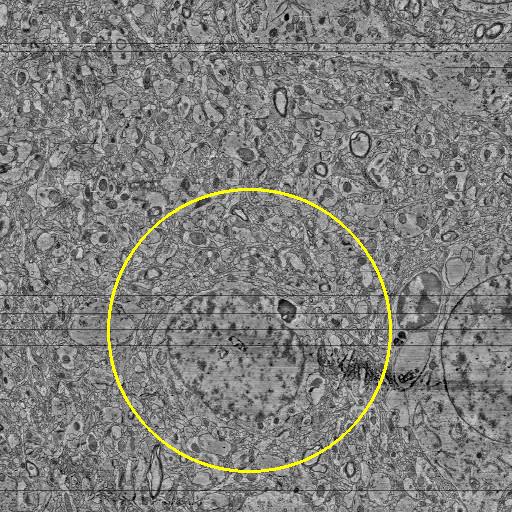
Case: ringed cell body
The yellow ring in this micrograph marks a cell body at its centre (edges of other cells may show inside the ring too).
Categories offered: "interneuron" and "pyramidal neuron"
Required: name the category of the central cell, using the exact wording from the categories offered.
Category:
interneuron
